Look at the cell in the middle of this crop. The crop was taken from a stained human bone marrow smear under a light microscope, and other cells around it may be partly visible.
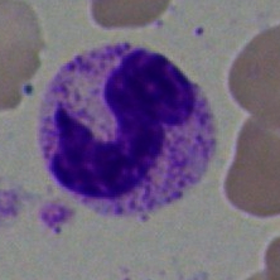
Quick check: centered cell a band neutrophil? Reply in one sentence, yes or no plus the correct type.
Yes, the cell that is in the middle is a band neutrophil.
